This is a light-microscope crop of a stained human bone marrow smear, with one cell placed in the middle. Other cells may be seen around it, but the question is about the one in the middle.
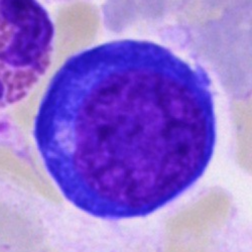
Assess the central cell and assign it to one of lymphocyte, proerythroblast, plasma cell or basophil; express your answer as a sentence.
Classified as a proerythroblast is the cell in the middle of this crop.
